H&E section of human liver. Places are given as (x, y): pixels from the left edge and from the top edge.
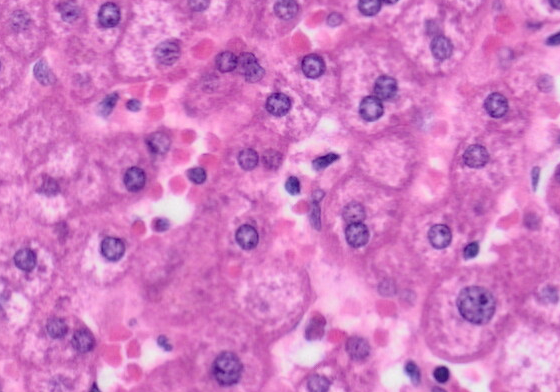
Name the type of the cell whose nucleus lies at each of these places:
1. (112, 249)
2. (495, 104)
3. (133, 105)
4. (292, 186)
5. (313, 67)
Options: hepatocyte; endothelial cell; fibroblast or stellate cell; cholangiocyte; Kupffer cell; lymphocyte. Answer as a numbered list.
1. hepatocyte
2. hepatocyte
3. lymphocyte
4. lymphocyte
5. hepatocyte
